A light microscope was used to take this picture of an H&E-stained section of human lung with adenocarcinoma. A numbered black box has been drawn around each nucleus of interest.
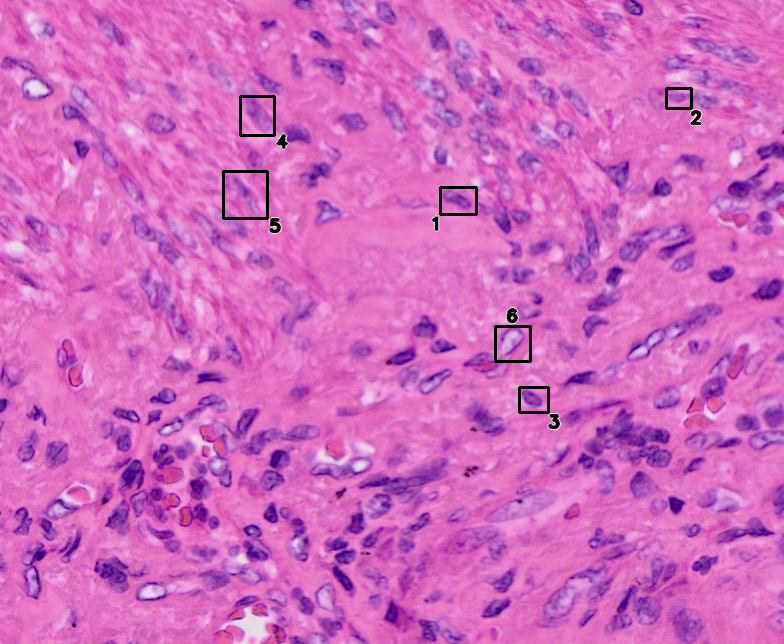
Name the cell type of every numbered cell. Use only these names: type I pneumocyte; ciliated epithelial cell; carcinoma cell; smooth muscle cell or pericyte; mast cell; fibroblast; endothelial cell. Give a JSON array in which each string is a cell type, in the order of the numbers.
["mast cell", "smooth muscle cell or pericyte", "mast cell", "smooth muscle cell or pericyte", "smooth muscle cell or pericyte", "endothelial cell"]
